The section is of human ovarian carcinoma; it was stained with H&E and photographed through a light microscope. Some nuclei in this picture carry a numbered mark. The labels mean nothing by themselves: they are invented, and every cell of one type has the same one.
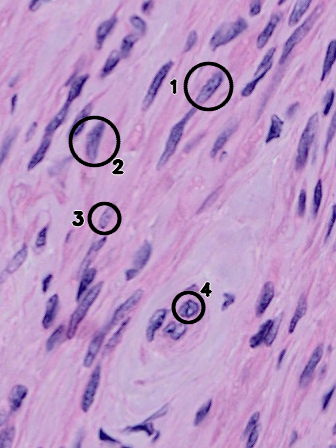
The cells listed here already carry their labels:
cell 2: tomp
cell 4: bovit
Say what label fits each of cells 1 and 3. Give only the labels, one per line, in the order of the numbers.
tomp
tomp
